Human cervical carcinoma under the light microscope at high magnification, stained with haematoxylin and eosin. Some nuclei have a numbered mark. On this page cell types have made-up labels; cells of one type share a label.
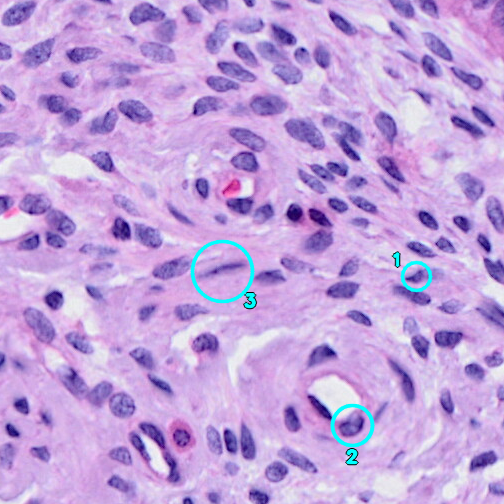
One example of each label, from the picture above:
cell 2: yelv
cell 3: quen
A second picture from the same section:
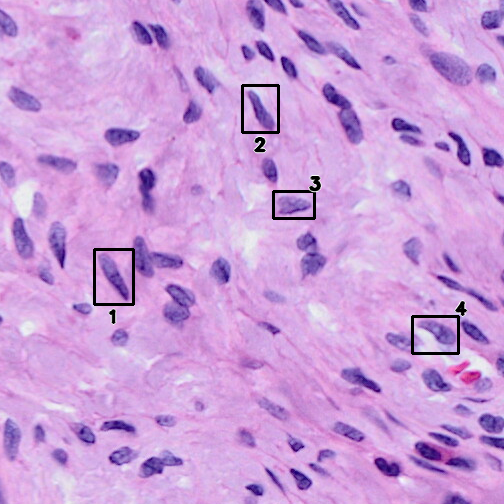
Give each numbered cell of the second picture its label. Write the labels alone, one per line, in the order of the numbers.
quen
quen
quen
yelv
